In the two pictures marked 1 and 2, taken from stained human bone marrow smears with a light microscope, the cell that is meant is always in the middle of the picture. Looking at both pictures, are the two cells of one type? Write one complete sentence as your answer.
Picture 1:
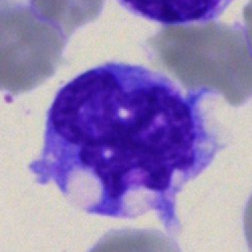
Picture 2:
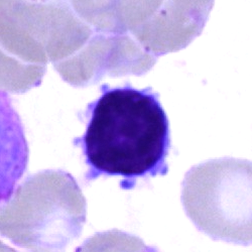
No, the types are not the same, since picture 1 shows a monocyte and picture 2 a lymphocyte.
